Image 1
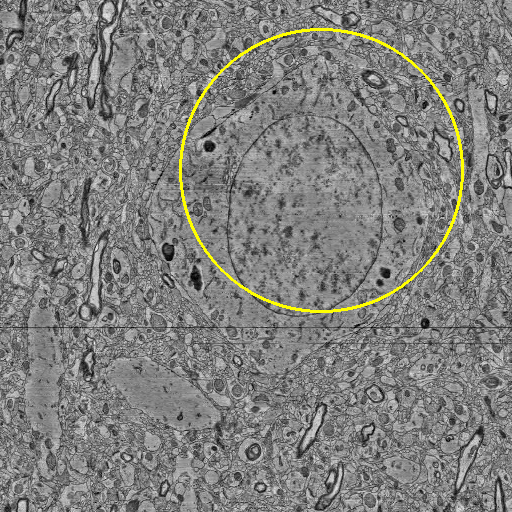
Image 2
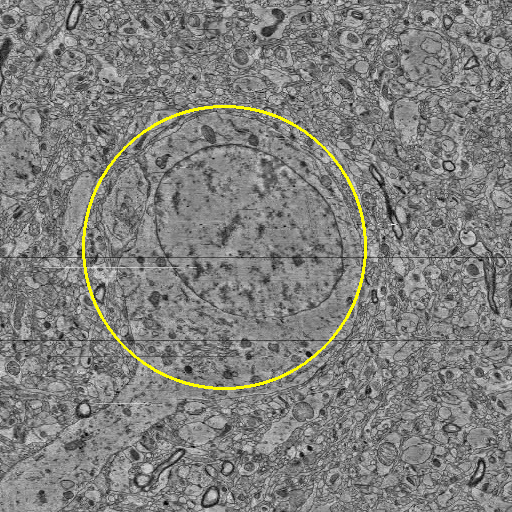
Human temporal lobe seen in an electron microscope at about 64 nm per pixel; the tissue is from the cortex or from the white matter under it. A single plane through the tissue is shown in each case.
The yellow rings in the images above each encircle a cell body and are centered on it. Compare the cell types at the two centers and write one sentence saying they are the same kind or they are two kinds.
Taken together, the two cells at the ring centers are the same kind.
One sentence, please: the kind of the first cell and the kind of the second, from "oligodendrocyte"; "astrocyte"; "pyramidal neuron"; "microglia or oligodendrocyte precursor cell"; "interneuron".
The second cell is a pyramidal neuron, just as the first is.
